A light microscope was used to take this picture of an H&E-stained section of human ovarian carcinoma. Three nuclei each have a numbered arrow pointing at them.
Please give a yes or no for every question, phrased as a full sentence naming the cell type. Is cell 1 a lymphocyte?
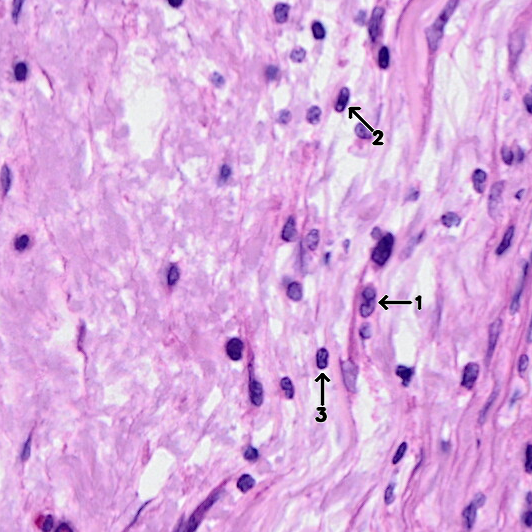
No, number 1 belongs to a macrophage or monocyte, not to a lymphocyte.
